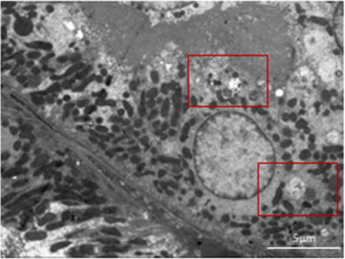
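A renal tubular epithelial cell is seen at high magnification. A large round nucleus with fine, evenly dispersed chromatin sits in the middle of the cell. Around it, and especially toward one side, the cytoplasm is crowded with many dense, dark, oval to rod-shaped mitochondria lying in rows, as in the basal part of a tubule cell. Two regions of the cytoplasm are boxed in red. They hold pale vacuoles and small membrane-bound bodies with mixed contents. The cell is bordered by a thin basement membrane and connective tissue at the lower left.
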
